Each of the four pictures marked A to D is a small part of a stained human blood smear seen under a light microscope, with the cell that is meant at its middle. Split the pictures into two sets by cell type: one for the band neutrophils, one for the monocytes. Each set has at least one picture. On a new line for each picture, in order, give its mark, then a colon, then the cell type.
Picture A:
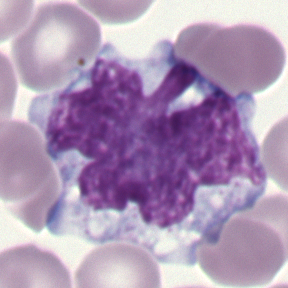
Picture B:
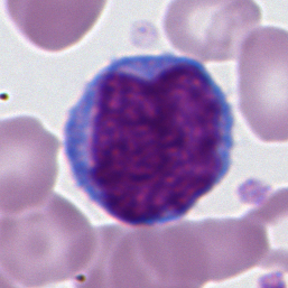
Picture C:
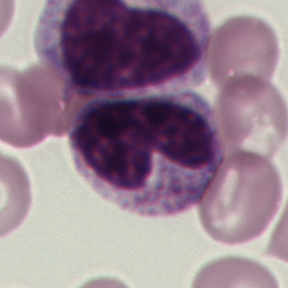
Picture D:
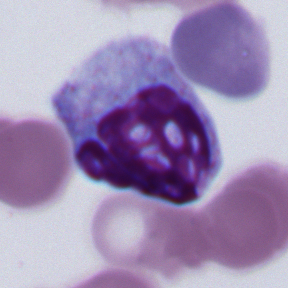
A: monocyte
B: monocyte
C: band neutrophil
D: monocyte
